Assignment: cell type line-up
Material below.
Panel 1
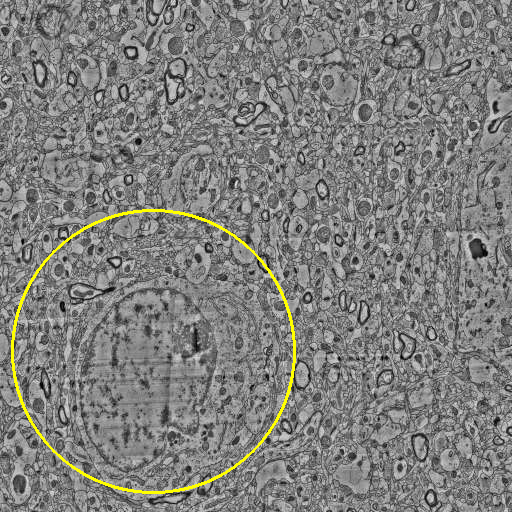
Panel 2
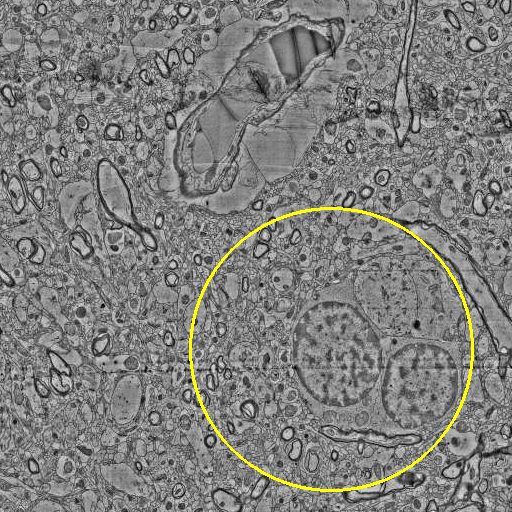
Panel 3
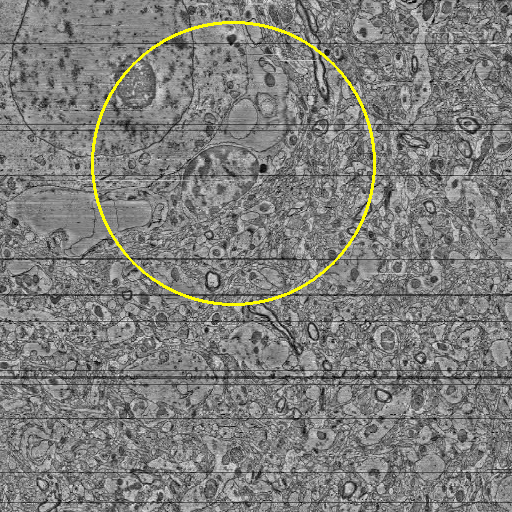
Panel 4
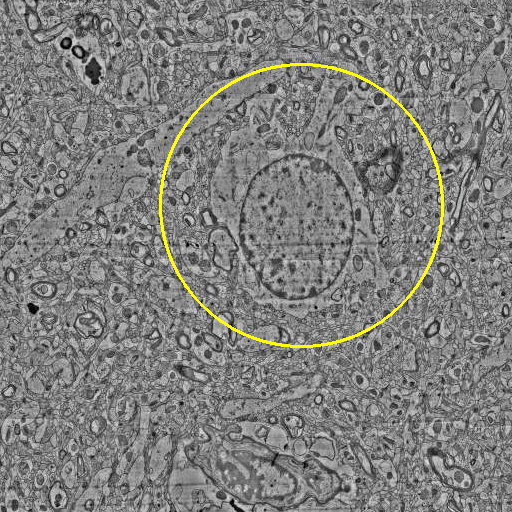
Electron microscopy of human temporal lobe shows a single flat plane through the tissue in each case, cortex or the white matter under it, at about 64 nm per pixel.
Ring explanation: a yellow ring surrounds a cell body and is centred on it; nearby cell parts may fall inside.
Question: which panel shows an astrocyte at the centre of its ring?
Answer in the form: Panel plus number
Panel 4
